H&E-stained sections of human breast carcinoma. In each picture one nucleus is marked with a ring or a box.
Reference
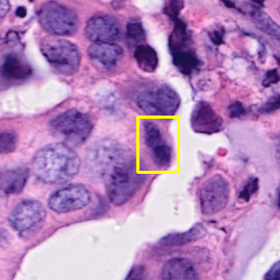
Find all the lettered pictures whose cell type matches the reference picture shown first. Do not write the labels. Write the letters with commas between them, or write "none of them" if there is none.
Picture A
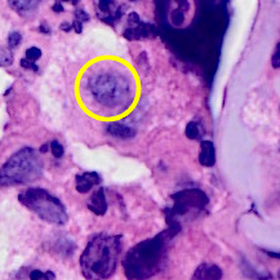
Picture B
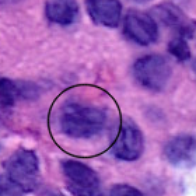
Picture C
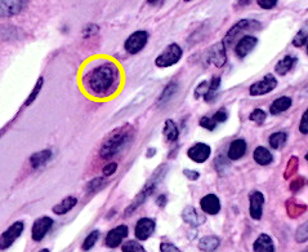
A, B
